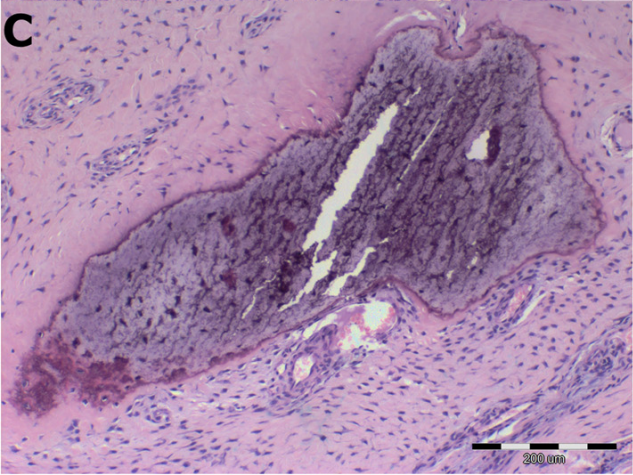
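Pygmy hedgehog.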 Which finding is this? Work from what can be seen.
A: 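A large irregular grey-purple acellular mass lies within pink fibrous stroma. The mass has cracks with clear spaces, as in brittle hard material. The answer: areas of mineralization.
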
